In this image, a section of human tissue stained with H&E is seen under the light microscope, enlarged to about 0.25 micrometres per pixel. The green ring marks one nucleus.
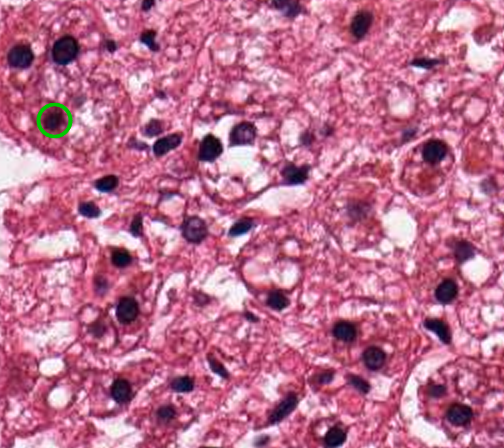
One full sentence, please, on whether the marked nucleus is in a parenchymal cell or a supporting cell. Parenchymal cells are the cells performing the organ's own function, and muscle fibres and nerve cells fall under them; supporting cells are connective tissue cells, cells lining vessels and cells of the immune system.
The parenchymal cell that owns the marked nucleus is an adrenal cortical cell.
